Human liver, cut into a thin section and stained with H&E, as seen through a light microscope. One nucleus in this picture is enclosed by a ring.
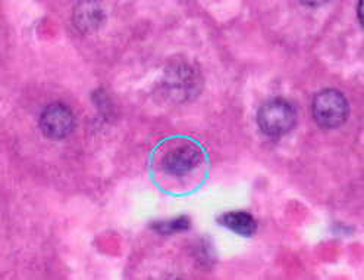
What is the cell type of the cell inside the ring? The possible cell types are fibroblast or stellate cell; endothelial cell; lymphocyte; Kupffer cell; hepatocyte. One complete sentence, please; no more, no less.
The category to which the cell inside the ring belongs is that of a fibroblast or stellate cell.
